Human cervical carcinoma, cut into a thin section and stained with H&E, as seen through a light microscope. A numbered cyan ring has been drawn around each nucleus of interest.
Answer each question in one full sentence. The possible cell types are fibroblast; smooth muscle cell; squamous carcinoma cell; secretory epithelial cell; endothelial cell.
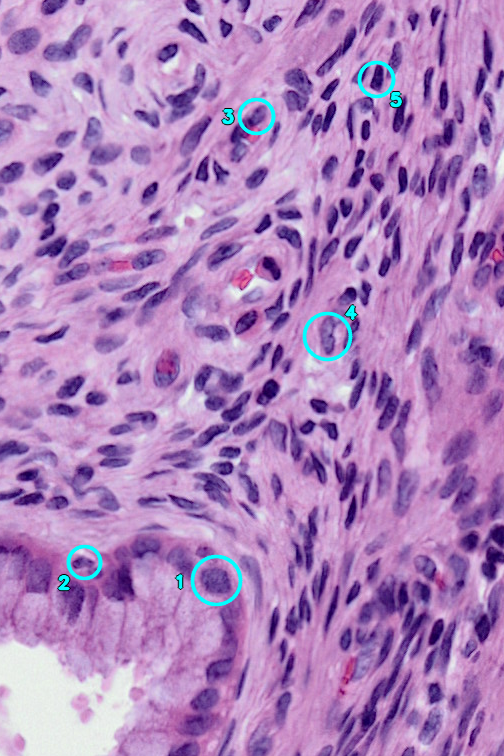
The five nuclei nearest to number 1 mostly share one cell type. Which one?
Of the five nuclei nearest to number 1, most belong to secretory epithelial cells.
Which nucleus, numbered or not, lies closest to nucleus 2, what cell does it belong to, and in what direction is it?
The nearest one is a secretory epithelial cell, found below and to the right of nucleus 2.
